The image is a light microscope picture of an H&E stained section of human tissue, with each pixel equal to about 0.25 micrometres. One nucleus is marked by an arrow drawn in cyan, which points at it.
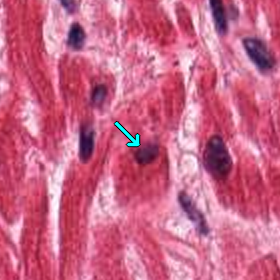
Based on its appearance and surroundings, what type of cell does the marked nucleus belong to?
cardiomyocyte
